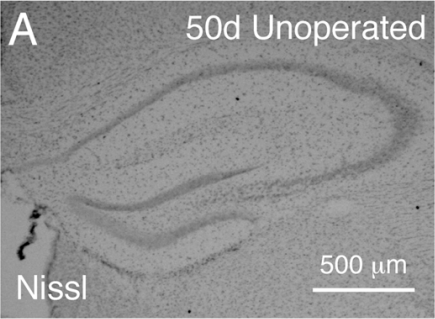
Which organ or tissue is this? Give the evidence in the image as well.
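Hippocampus. A long curved band of densely packed, darker-stained cells arcs across the section. A smaller V-shaped band of packed cells lies inside the curve at the lower left. Paler tissue with scattered cell bodies surrounds the bands.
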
